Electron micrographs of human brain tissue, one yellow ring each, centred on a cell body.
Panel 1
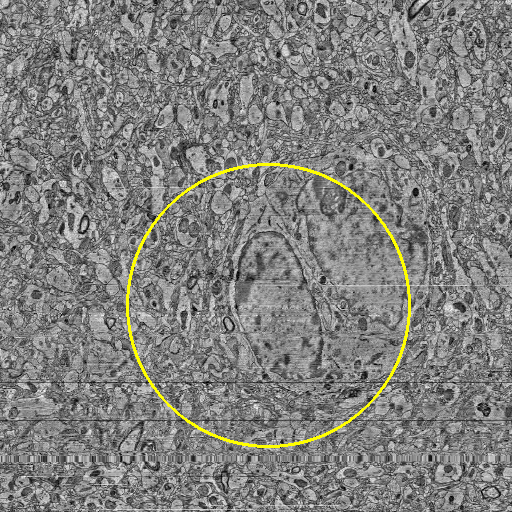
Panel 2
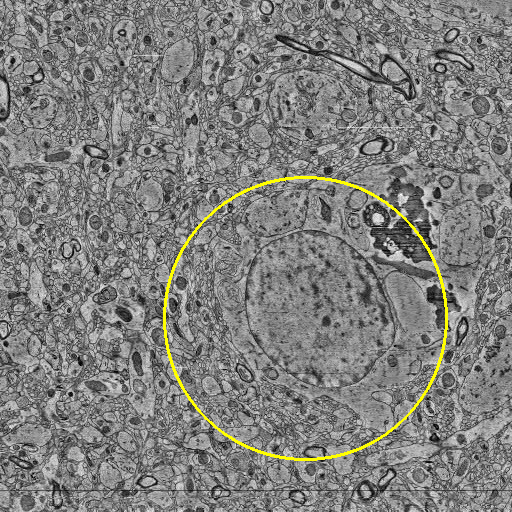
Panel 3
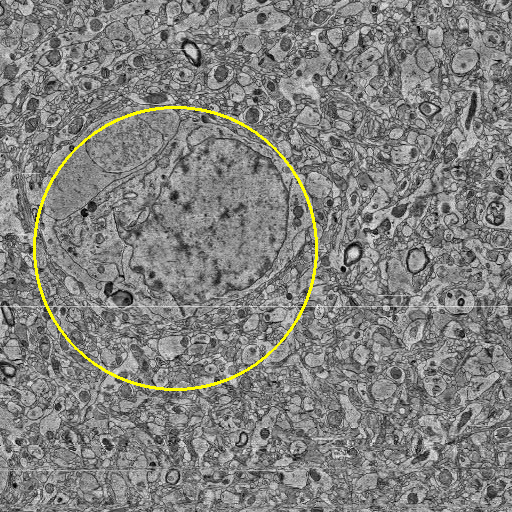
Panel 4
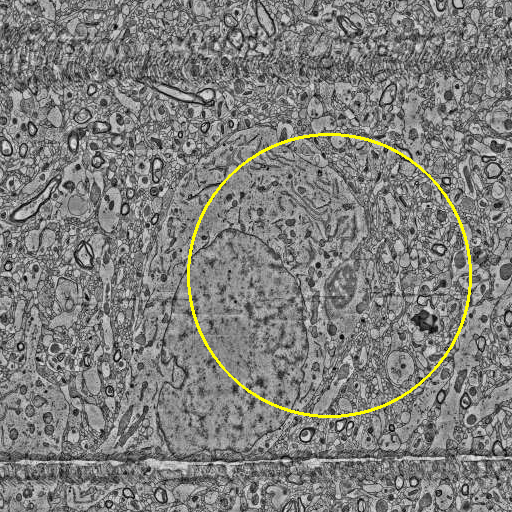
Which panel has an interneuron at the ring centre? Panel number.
3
